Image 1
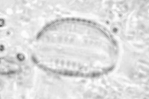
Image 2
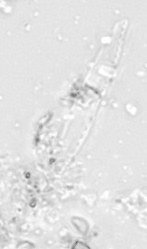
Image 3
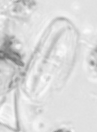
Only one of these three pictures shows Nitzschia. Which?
Picture 2.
